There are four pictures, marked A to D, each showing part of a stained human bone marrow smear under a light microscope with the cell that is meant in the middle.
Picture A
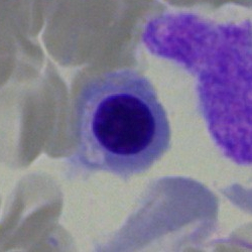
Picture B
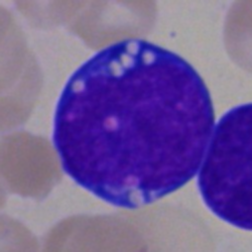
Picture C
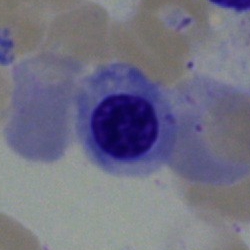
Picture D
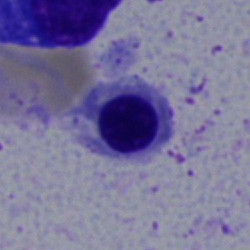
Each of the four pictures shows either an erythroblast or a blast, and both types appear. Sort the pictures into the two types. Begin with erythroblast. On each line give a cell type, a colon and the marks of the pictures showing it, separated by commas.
erythroblast: A, C, D
blast: B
